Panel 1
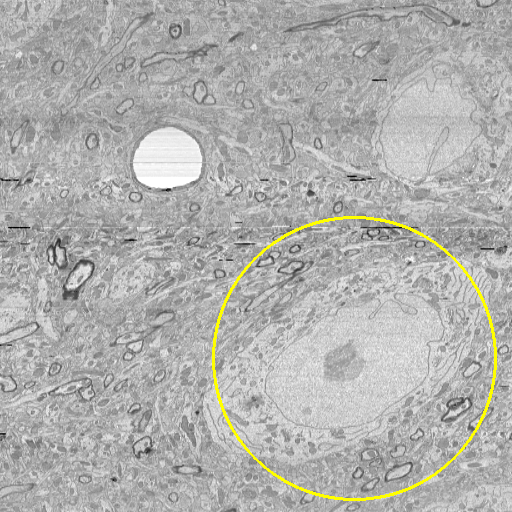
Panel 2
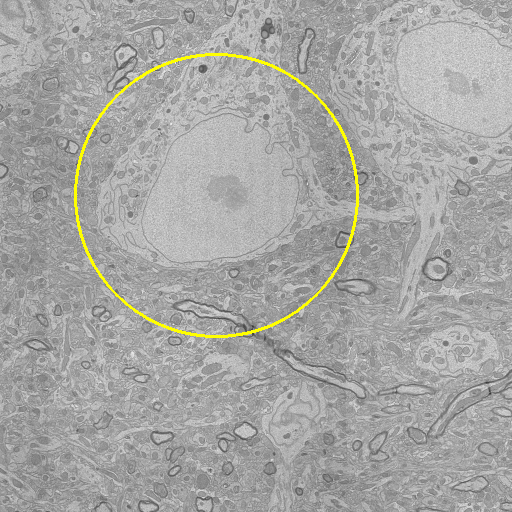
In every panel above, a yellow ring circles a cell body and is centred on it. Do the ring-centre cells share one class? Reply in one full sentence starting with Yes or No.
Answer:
Yes, the two cells at the ring centres in the panels belong to one class.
